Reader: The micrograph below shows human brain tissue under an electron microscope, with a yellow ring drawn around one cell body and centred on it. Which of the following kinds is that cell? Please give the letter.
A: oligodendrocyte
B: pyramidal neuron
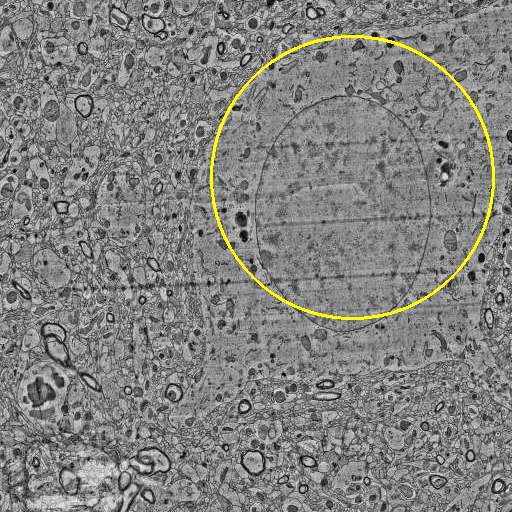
B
